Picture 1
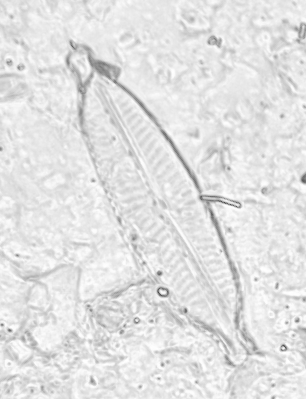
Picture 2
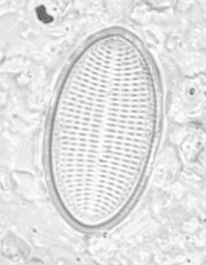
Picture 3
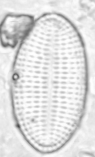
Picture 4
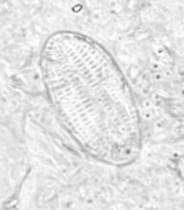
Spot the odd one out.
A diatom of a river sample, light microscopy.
Picture 1 (Navicula among Cocconeis).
